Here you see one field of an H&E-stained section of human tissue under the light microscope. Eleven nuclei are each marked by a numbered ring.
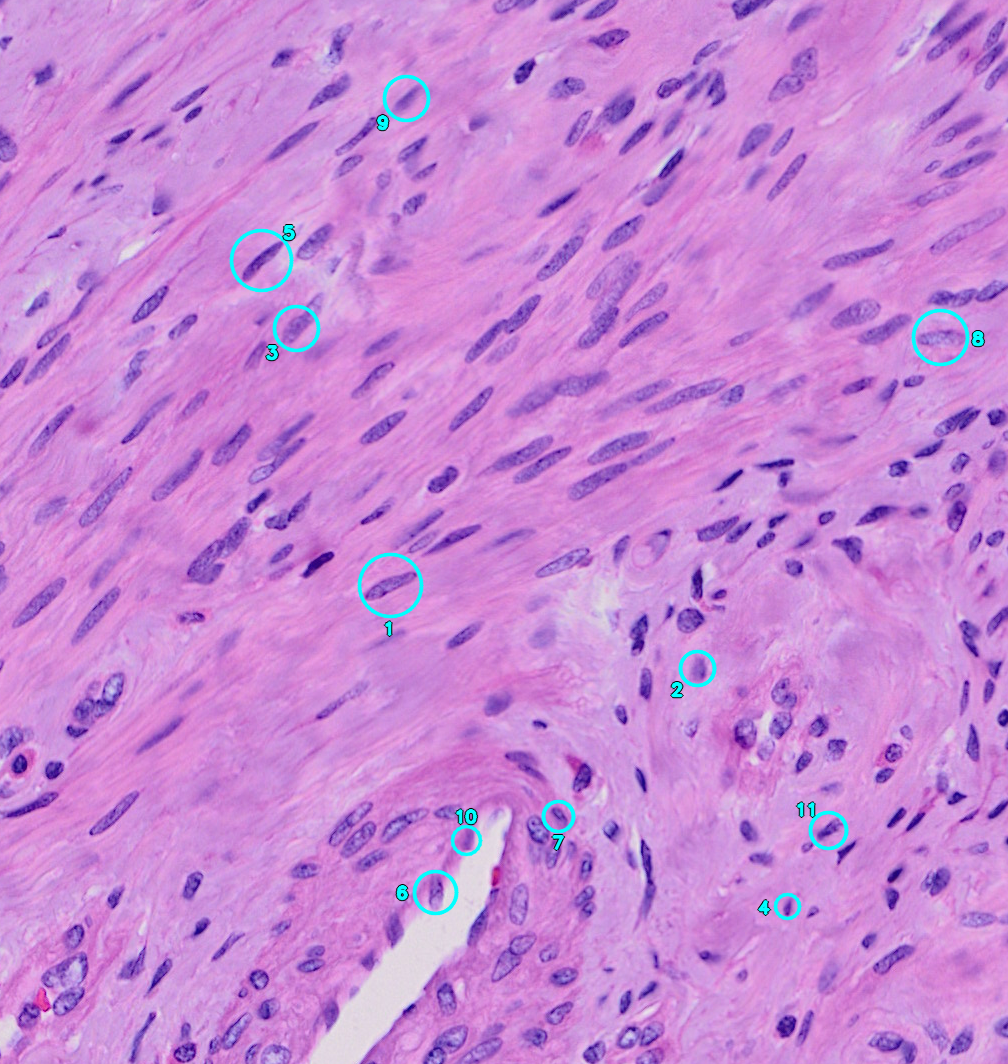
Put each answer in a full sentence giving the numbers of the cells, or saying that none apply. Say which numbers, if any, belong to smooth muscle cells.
In short, the numbered cells 3, 7 and 8 are smooth muscle cells.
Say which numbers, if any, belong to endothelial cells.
As for the cells numbered 6 and 10, they are endothelial cells.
